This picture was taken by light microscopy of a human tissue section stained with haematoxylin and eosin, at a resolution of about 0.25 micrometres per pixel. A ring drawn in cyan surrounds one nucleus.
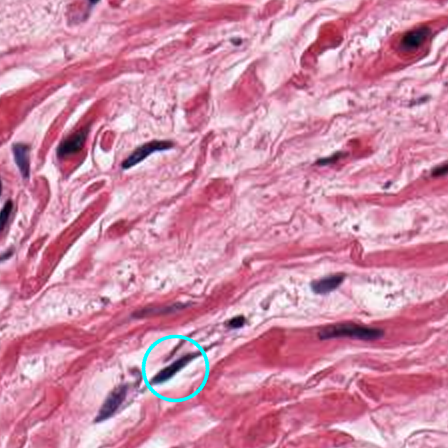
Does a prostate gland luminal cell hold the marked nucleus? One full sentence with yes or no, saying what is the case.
No, it is not a prostate gland luminal cell but a supporting cell to which the marked nucleus is assigned.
